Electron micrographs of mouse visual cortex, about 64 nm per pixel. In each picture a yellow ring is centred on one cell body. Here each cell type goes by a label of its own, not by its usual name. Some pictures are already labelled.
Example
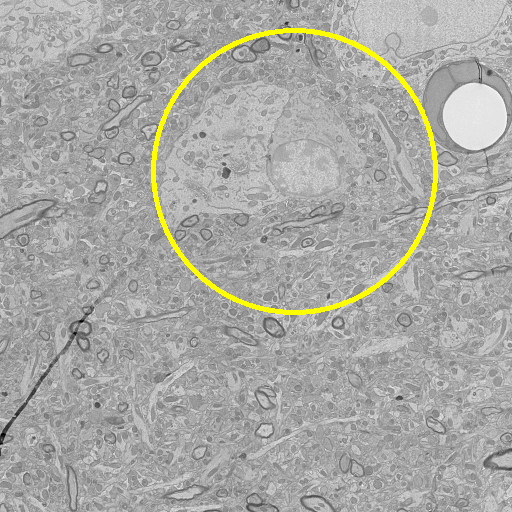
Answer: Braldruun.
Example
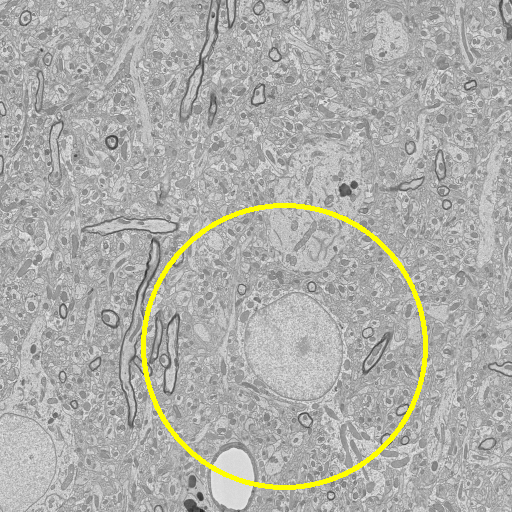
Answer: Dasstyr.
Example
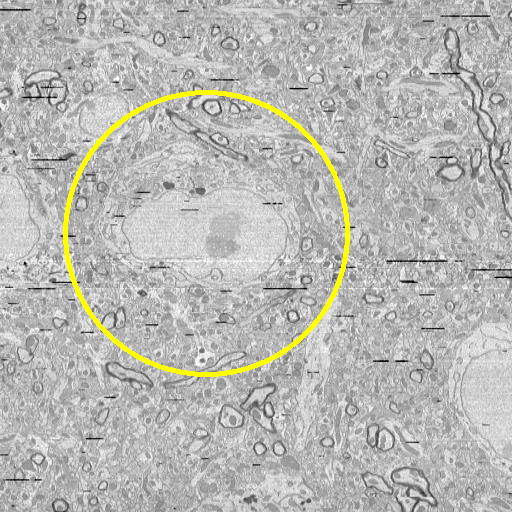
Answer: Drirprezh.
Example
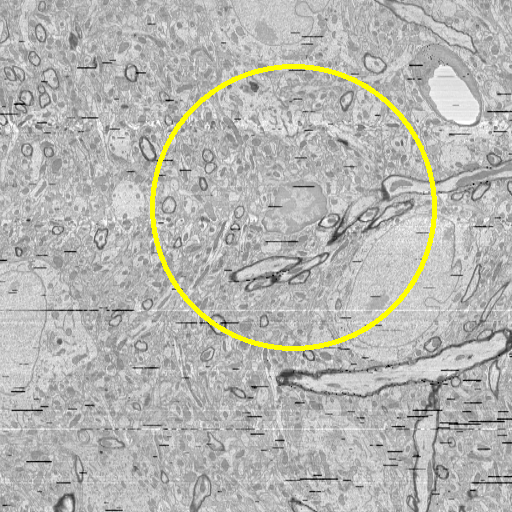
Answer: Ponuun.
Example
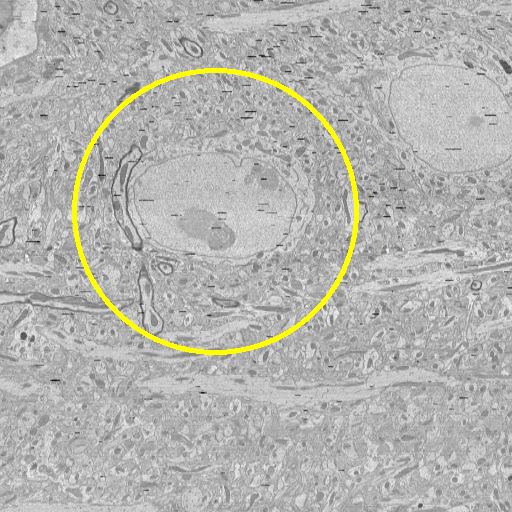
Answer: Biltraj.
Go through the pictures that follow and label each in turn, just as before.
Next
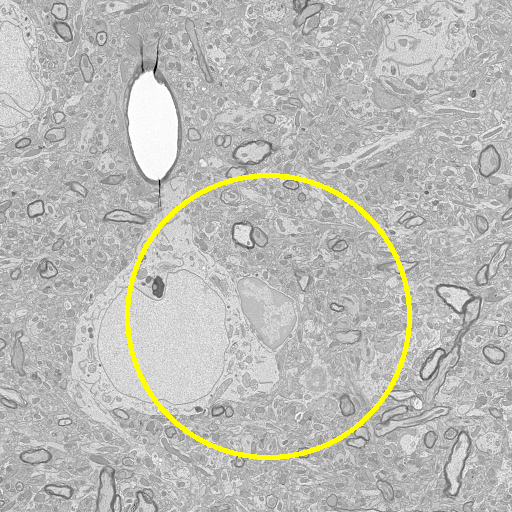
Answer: Ponuun.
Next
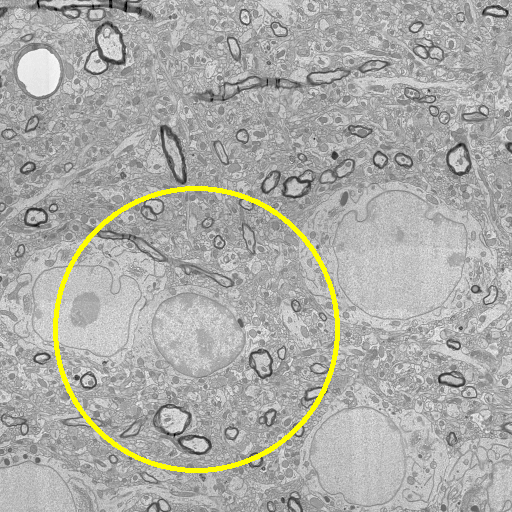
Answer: Braldruun.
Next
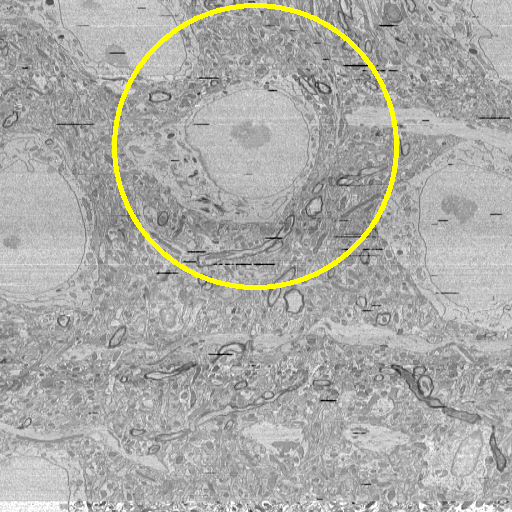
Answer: Biltraj.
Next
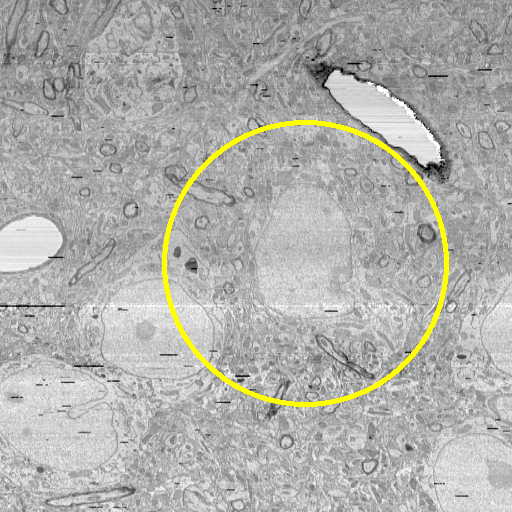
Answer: Dasstyr.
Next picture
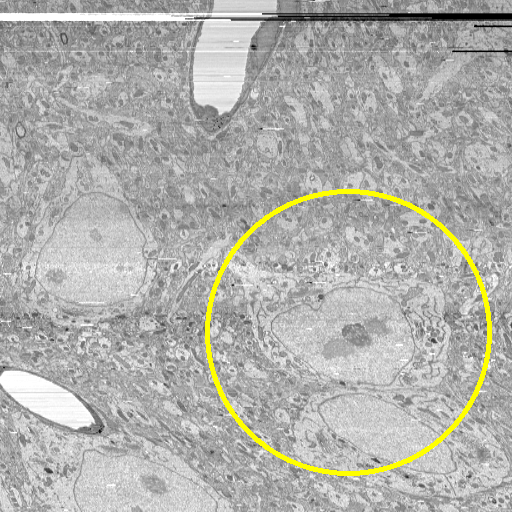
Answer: Drirprezh.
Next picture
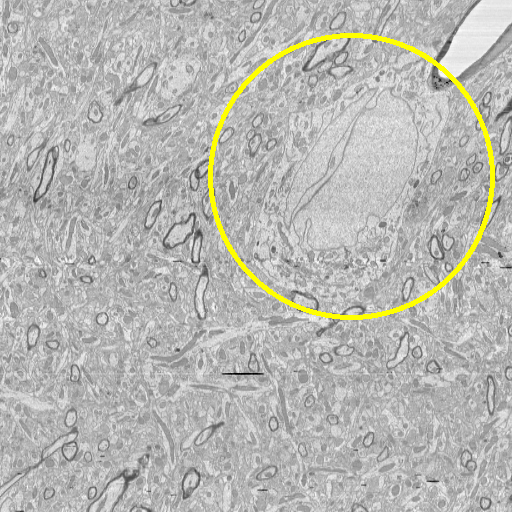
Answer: Drirprezh.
